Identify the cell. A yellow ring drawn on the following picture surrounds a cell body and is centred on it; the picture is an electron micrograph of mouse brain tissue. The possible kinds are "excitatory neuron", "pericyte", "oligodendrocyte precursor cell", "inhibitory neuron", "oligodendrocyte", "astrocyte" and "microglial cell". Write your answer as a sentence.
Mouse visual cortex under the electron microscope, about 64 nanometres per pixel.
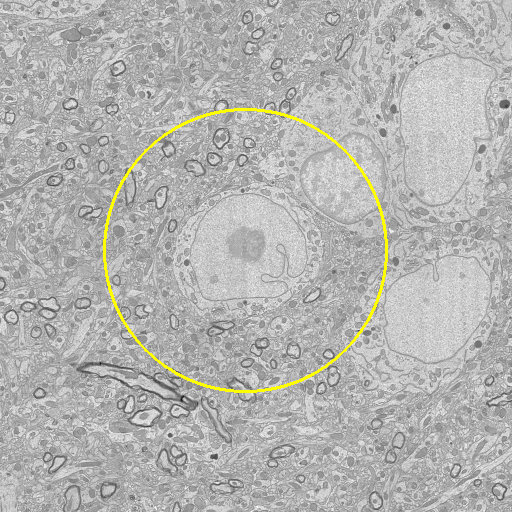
The cell identified by the ring is an inhibitory neuron.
